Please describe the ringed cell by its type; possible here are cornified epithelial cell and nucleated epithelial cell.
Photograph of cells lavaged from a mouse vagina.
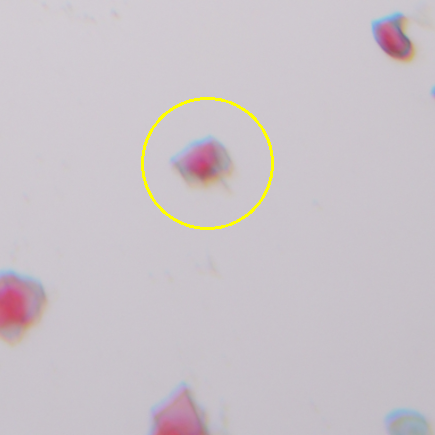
The yellow ring marks a nucleated epithelial cell.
